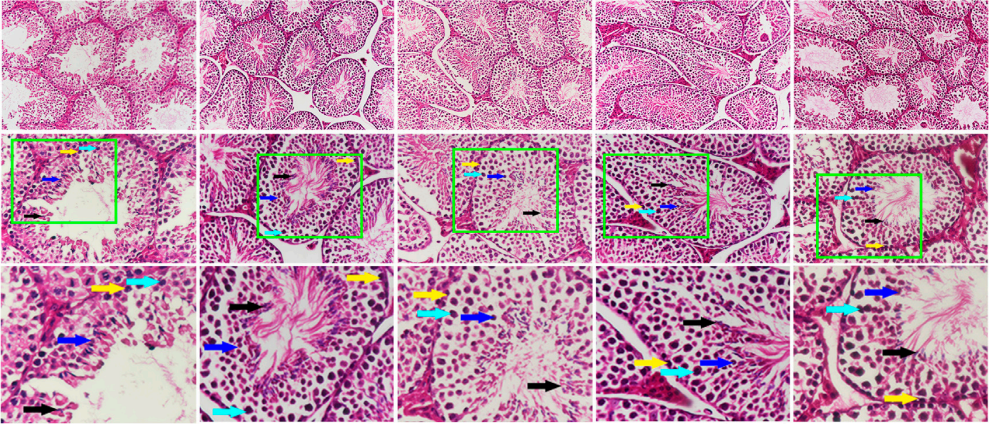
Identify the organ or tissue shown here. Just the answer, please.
testes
